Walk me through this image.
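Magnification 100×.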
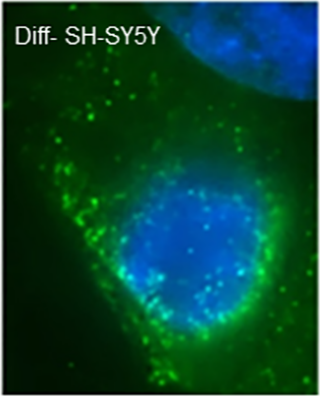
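Fine green dots are scattered through the cytoplasm around the nucleus. They crowd most densely in a band just around the nucleus and thin out toward the cell's outer edge. Some dots also lie over the nucleus itself. Part of the nucleus of a neighbouring cell shows at the top right corner.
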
